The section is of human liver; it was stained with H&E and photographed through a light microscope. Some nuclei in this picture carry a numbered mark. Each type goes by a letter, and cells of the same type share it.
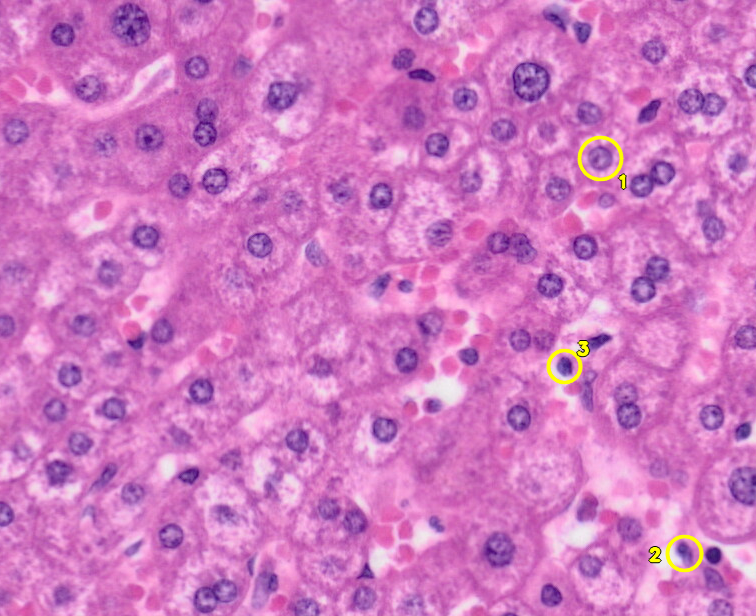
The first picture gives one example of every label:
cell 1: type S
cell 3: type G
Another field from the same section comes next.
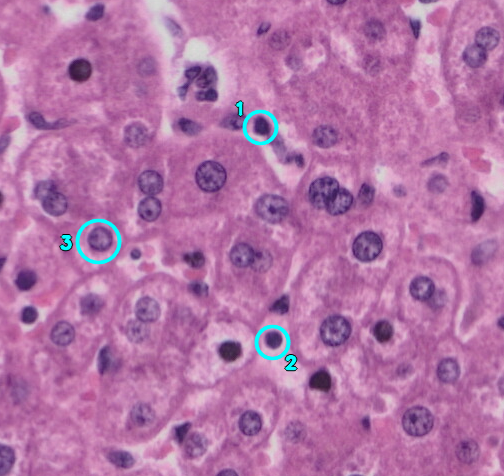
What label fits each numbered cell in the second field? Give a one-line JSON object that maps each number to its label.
{"1": "type G", "2": "type G", "3": "type S"}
